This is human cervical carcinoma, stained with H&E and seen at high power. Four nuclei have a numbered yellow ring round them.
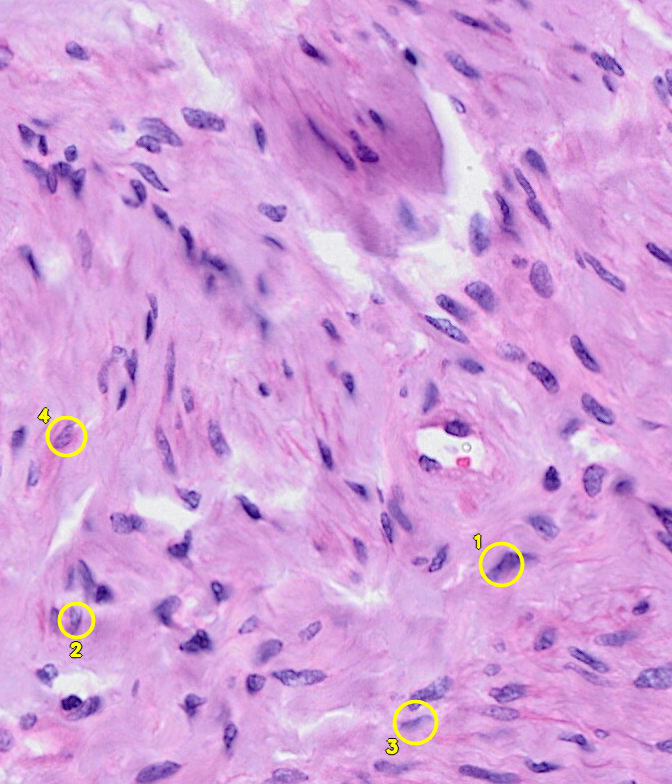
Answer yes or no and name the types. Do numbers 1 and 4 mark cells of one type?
No, cell 1 is a fibroblast, whereas a smooth muscle cell is what cell 4 is.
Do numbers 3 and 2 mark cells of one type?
No, that is not right: cell 3 is a fibroblast and cell 2 is a smooth muscle cell.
